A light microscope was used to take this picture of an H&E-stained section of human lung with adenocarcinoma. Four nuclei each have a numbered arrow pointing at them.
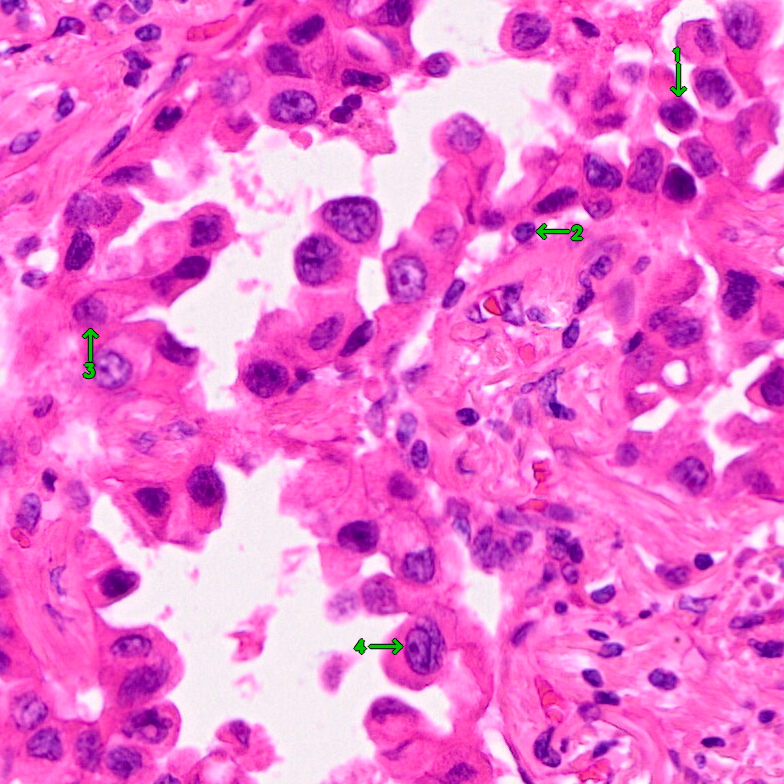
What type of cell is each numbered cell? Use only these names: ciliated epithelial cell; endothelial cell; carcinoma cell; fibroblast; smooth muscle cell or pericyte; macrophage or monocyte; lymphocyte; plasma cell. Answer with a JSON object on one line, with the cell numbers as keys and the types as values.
{"1": "carcinoma cell", "2": "lymphocyte", "3": "carcinoma cell", "4": "carcinoma cell"}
